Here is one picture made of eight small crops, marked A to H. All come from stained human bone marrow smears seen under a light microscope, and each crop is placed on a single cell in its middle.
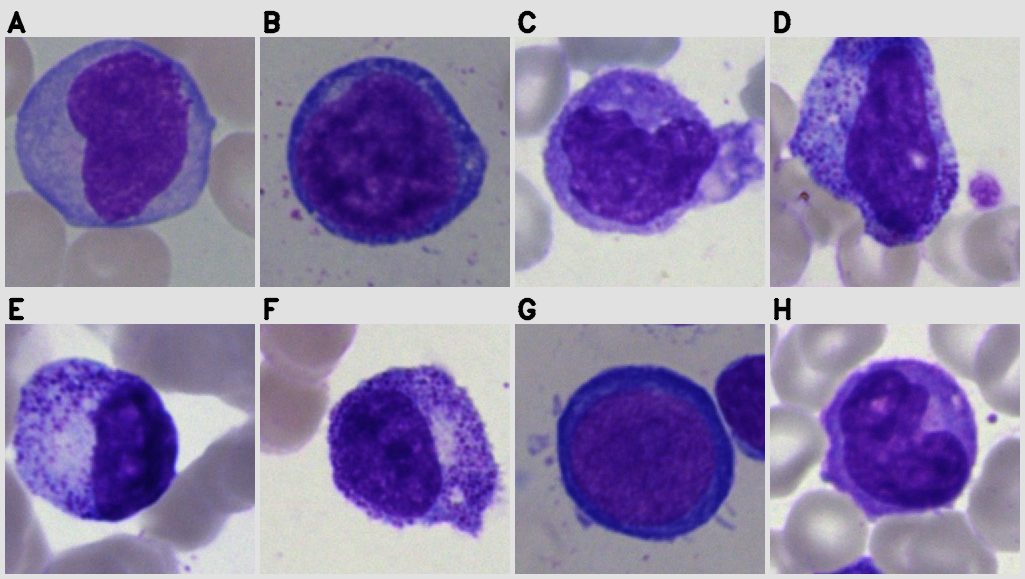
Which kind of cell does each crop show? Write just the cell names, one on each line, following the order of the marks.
monocyte
proerythroblast
monocyte
promyelocyte
promyelocyte
myelocyte
proerythroblast
monocyte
